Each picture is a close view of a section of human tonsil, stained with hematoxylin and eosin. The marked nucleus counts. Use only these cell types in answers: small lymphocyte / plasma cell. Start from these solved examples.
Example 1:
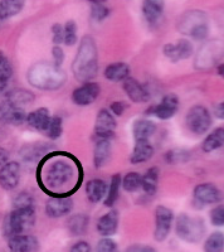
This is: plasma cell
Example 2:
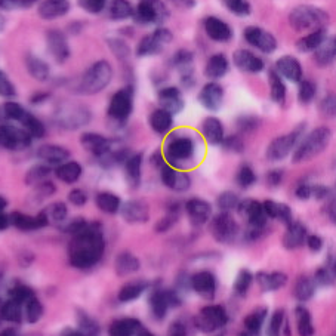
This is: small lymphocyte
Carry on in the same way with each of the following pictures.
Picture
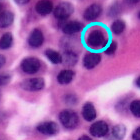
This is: plasma cell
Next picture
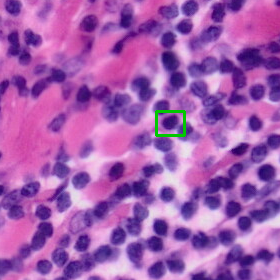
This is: small lymphocyte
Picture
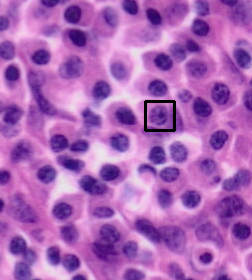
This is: plasma cell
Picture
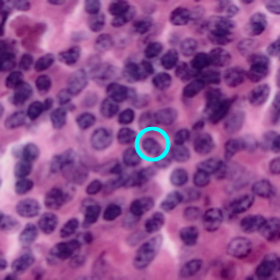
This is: small lymphocyte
